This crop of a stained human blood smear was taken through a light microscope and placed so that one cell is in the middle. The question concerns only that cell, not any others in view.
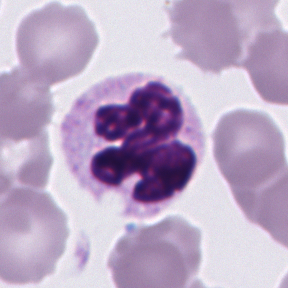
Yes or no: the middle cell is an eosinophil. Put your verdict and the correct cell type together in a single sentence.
No, instead of an eosinophil, the middle cell is a segmented neutrophil.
